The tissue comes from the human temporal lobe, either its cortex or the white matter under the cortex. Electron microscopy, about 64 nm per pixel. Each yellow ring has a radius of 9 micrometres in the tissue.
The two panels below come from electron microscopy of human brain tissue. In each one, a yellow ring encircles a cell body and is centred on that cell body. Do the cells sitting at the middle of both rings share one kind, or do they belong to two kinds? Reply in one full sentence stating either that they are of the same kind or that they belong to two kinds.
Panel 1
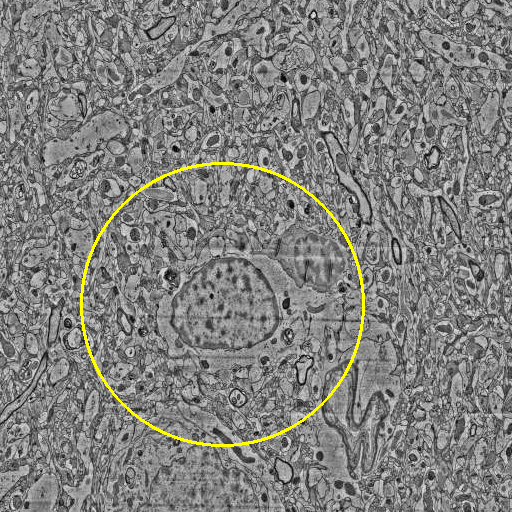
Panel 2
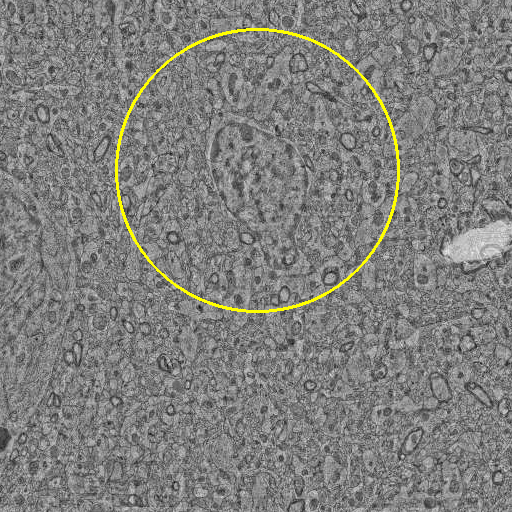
The cells at the centres of the two rings are of the same kind.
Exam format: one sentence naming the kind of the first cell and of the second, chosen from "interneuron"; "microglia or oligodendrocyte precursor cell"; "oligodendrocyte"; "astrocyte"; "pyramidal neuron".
Each of the two rings surrounds a microglial cell or oligodendrocyte precursor cell.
